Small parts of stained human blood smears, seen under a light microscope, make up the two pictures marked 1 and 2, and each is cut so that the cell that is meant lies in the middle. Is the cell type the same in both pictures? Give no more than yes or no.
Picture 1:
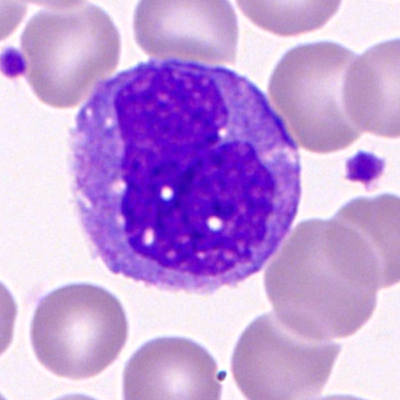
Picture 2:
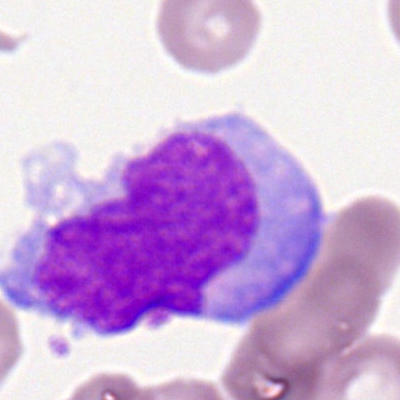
yes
